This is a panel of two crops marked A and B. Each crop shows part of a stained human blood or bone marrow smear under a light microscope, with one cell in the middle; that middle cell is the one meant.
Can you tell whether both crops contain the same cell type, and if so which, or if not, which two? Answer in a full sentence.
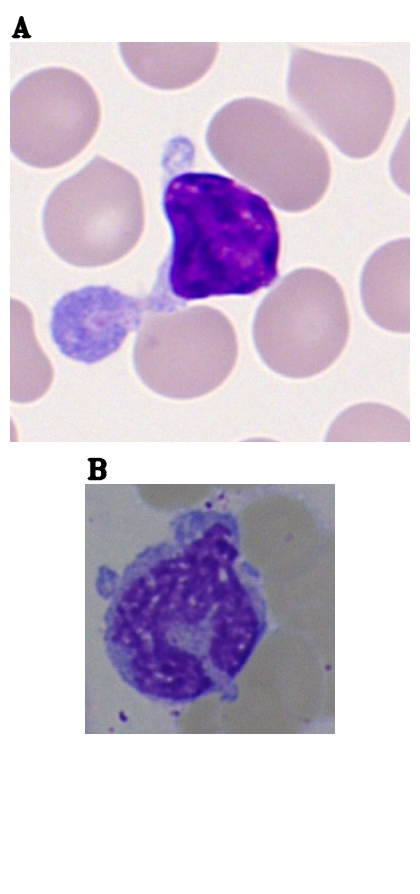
No, a lymphocyte lies at the centre of crop A, and a monocyte lies at the centre of crop B.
